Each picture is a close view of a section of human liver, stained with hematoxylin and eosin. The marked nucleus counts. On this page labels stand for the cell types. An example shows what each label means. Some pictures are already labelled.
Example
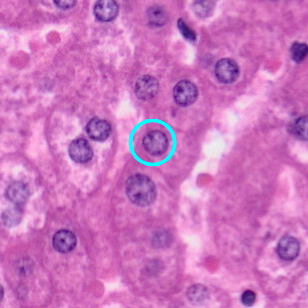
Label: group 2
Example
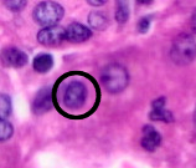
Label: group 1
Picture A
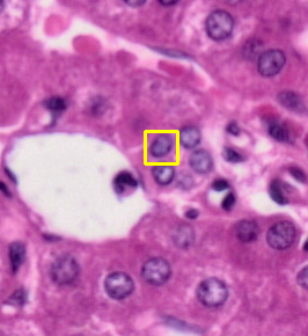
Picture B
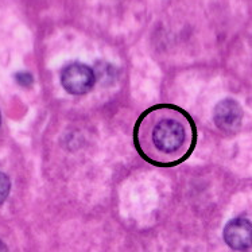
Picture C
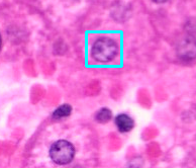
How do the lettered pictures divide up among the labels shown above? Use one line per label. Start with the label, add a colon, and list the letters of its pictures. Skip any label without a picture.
group 2: B, C
group 1: A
